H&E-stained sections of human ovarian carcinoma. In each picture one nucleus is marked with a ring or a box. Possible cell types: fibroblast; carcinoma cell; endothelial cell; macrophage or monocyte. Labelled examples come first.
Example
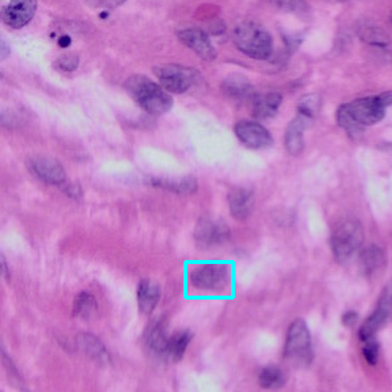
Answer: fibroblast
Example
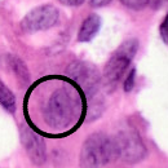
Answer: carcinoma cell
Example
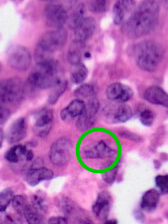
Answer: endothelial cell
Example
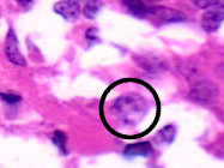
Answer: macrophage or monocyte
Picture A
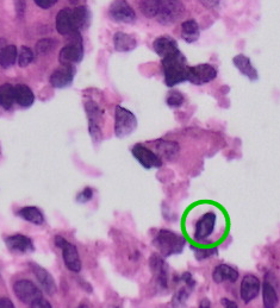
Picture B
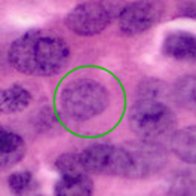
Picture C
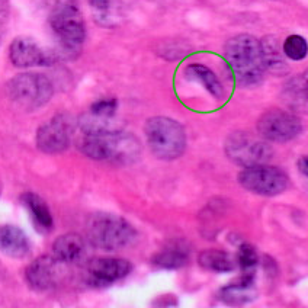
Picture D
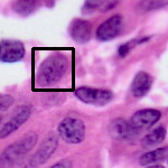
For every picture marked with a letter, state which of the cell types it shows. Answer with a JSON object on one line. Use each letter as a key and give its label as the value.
{"A": "carcinoma cell", "B": "carcinoma cell", "C": "endothelial cell", "D": "carcinoma cell"}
